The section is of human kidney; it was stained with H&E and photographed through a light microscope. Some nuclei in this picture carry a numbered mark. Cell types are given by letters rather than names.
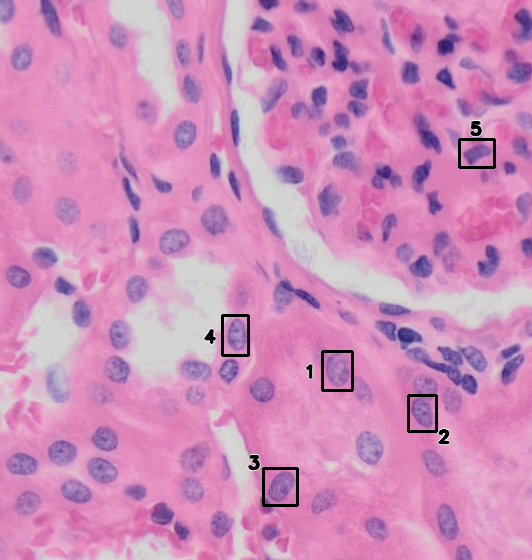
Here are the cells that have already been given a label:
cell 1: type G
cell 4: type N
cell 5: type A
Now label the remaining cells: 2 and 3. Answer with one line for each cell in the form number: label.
2: type G
3: type G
